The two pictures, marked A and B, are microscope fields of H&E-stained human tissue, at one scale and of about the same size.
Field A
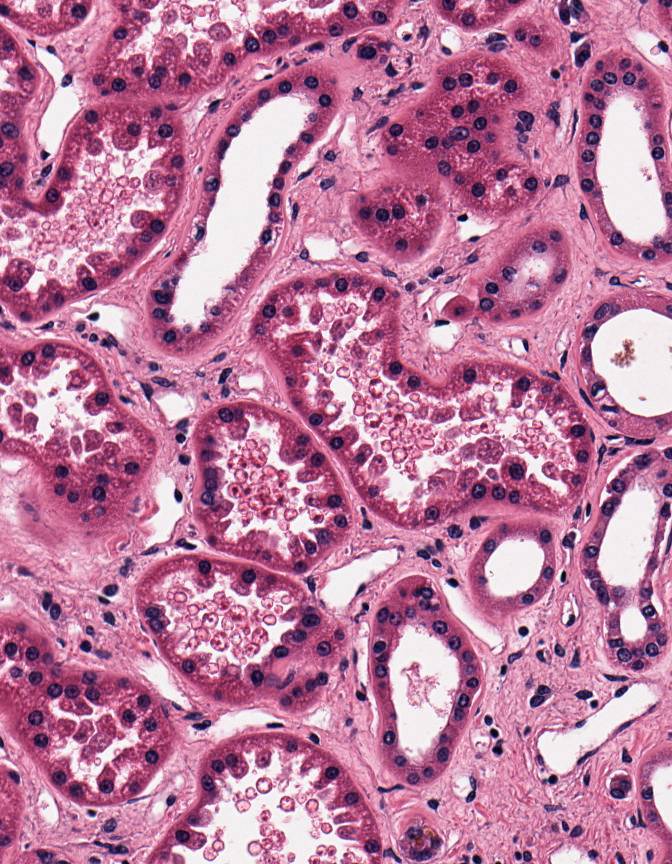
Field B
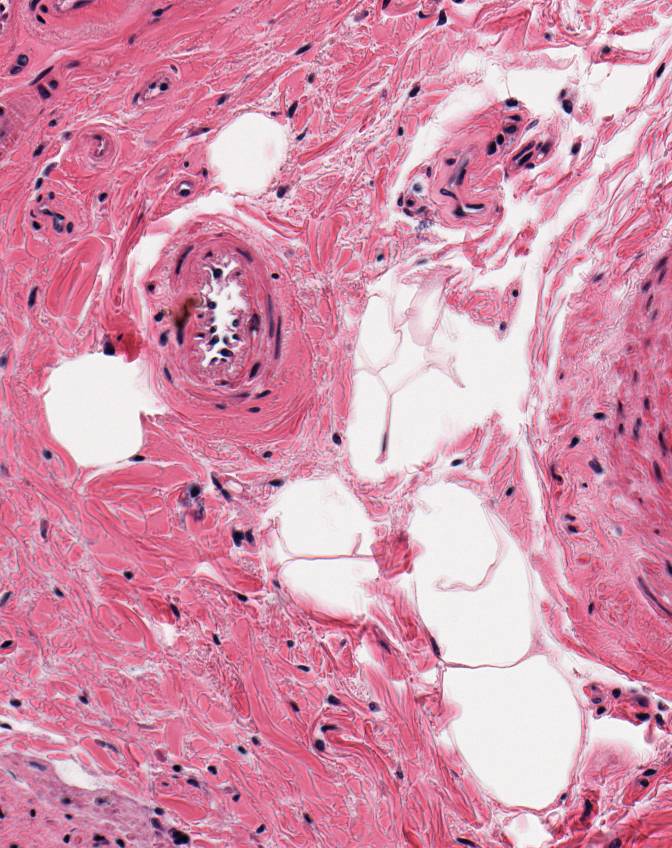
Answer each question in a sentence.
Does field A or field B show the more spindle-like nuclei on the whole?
Longer, more slender nuclei lie in field B.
